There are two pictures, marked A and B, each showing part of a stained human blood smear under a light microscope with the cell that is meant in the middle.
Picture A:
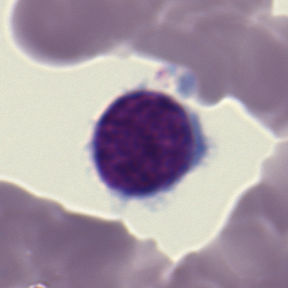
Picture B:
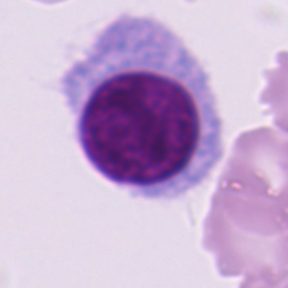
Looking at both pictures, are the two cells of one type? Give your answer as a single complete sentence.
Yes, they are the same type: both are hairy cells.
